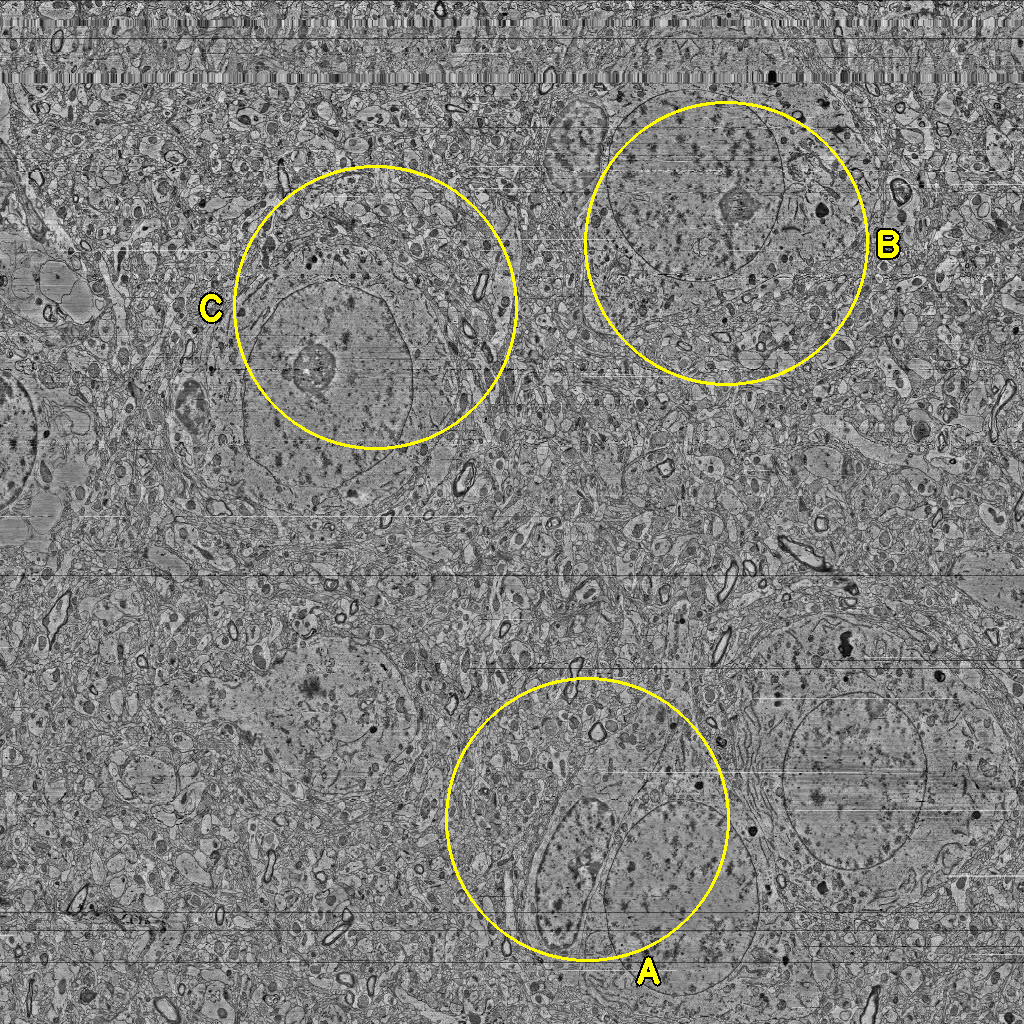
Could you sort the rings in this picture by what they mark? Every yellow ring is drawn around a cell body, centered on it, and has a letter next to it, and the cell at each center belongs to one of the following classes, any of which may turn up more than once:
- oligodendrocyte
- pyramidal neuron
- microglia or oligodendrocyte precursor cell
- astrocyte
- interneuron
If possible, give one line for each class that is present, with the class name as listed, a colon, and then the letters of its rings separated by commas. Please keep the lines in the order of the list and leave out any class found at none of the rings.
pyramidal neuron: B, C
microglia or oligodendrocyte precursor cell: A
